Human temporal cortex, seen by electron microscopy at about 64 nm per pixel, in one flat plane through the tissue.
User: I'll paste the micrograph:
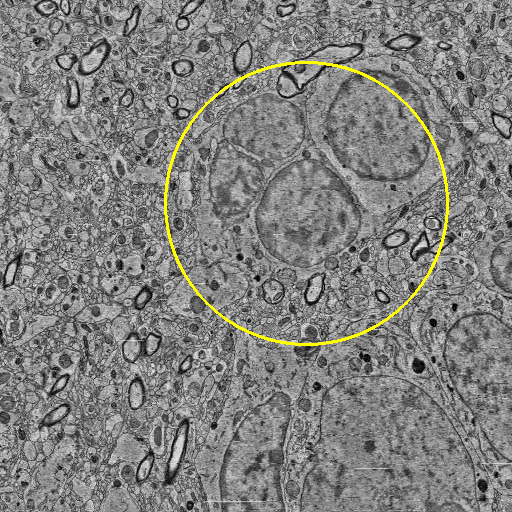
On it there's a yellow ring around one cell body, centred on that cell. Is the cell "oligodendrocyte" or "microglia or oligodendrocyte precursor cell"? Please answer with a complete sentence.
The cell ringed in yellow is an oligodendrocyte.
